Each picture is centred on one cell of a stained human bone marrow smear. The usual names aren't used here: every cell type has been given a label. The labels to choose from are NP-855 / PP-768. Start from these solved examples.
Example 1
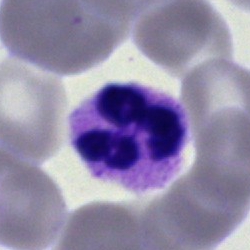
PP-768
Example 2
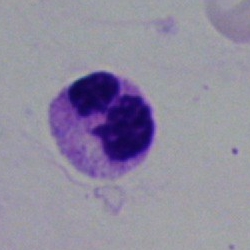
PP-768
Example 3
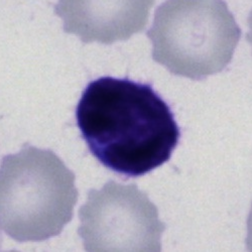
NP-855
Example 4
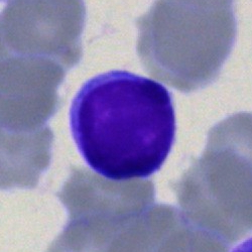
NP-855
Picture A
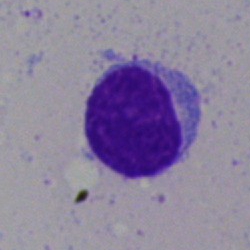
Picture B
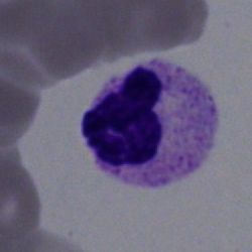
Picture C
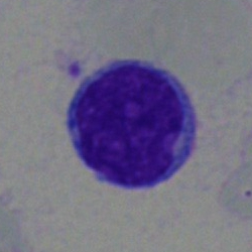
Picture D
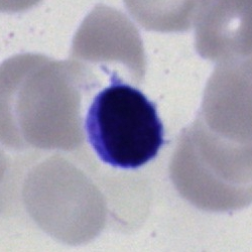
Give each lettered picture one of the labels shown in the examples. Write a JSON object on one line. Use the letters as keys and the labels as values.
{"A": "NP-855", "B": "PP-768", "C": "NP-855", "D": "NP-855"}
